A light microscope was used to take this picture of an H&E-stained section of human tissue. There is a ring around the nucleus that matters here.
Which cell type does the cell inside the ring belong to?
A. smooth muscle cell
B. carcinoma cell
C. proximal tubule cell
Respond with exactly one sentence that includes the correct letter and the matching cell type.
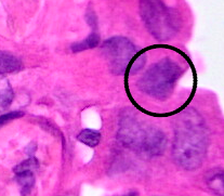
In agreement with option B, the cell inside the ring is a carcinoma cell.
